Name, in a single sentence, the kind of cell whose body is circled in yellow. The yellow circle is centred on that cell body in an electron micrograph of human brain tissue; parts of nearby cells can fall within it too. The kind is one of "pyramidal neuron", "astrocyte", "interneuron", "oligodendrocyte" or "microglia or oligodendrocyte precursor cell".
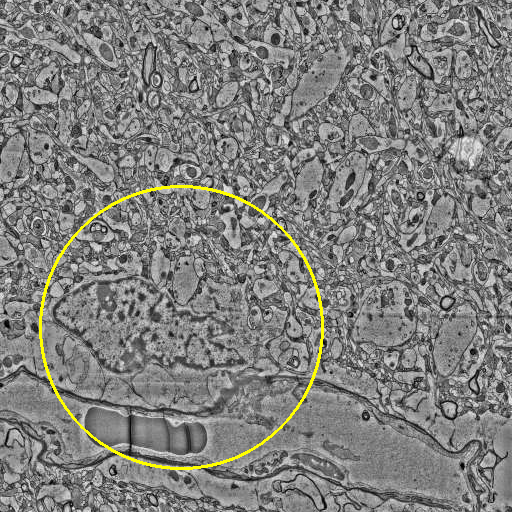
The circled cell body belongs to a microglial cell or oligodendrocyte precursor cell.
